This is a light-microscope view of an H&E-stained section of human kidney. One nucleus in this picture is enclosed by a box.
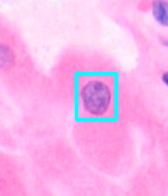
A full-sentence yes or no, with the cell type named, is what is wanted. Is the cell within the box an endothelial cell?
No, the cell within the box is a proximal tubule cell and should not be read as an endothelial cell.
